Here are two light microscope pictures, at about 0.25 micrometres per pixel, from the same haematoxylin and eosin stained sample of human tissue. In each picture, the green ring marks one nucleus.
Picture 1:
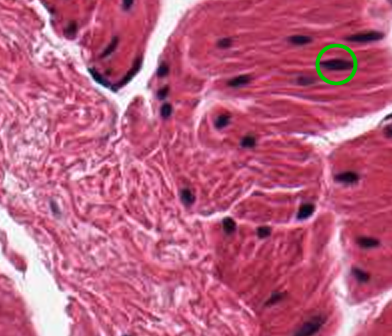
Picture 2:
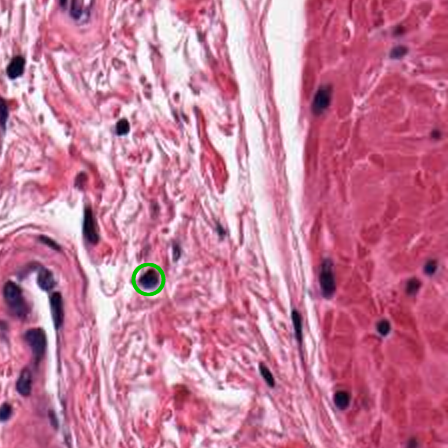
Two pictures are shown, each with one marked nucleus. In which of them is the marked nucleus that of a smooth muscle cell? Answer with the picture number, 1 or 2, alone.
1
